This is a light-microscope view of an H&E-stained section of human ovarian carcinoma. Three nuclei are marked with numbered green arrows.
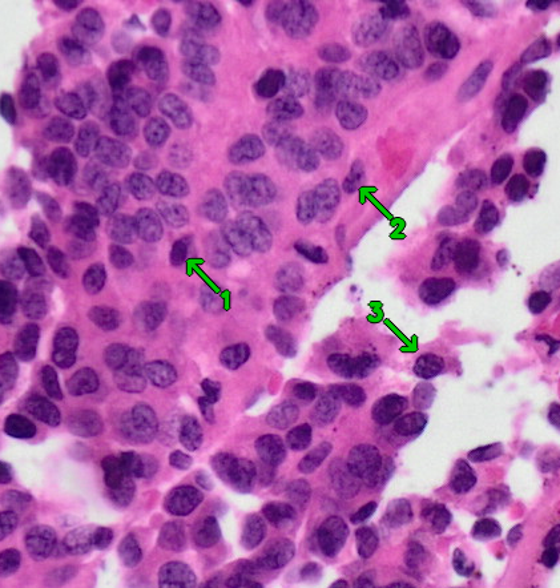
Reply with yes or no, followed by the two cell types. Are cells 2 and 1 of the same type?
No, cell 2 is a macrophage or monocyte and cell 1 is a carcinoma cell.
